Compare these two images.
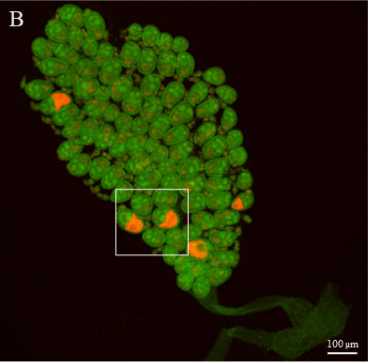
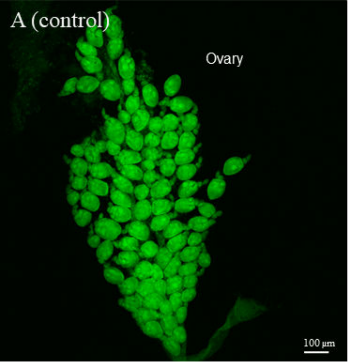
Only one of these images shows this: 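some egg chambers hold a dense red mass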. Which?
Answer: The first image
